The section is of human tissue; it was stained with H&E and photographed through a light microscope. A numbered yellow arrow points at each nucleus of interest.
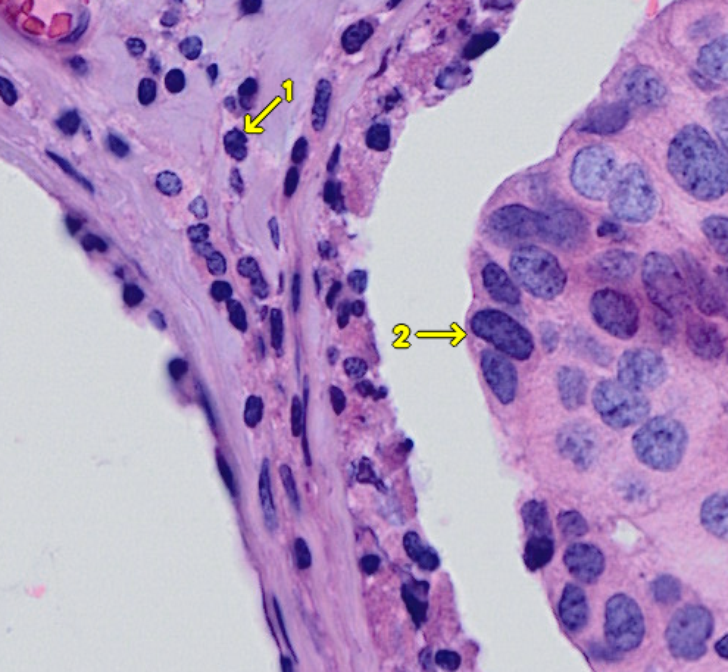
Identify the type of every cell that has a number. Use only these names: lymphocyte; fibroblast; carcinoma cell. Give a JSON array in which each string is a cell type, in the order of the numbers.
["lymphocyte", "carcinoma cell"]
